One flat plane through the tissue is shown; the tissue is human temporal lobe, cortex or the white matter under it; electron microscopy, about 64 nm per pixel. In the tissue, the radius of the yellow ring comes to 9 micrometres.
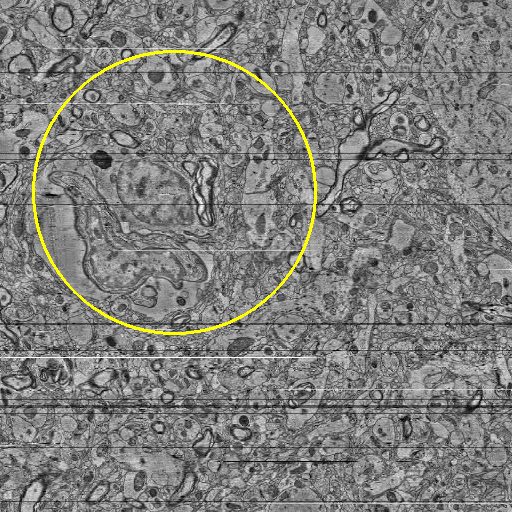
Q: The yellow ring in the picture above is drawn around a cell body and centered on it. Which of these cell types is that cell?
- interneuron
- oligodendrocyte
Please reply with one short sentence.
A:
The cell body at the ring's center belongs to an oligodendrocyte.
